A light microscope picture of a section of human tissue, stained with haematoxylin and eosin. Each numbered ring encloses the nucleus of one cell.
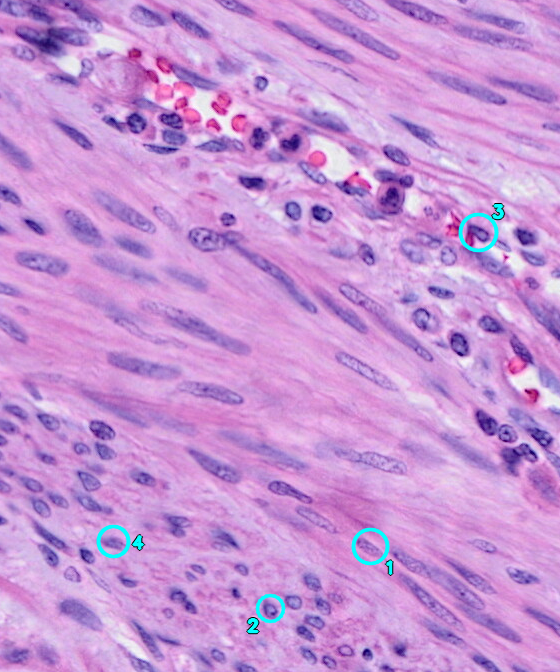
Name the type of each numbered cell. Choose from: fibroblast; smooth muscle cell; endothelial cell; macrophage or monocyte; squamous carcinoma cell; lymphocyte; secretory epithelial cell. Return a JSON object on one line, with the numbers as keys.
{"1": "smooth muscle cell", "2": "smooth muscle cell", "3": "endothelial cell", "4": "smooth muscle cell"}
